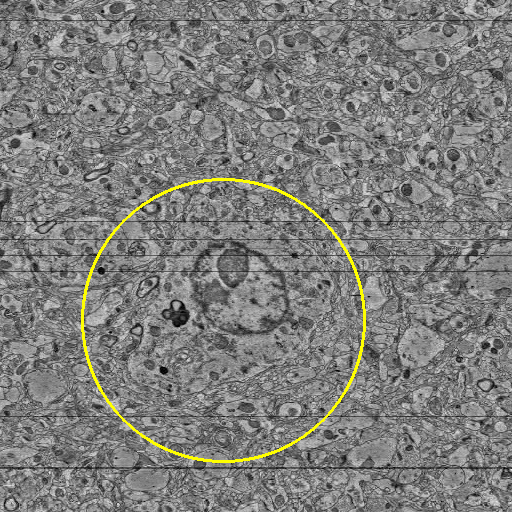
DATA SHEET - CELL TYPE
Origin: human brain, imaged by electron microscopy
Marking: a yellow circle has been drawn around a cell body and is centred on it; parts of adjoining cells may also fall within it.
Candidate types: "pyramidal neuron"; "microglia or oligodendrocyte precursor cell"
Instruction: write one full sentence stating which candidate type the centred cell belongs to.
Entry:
The cell body at the centre of the yellow ring in this micrograph belongs to a pyramidal neuron.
